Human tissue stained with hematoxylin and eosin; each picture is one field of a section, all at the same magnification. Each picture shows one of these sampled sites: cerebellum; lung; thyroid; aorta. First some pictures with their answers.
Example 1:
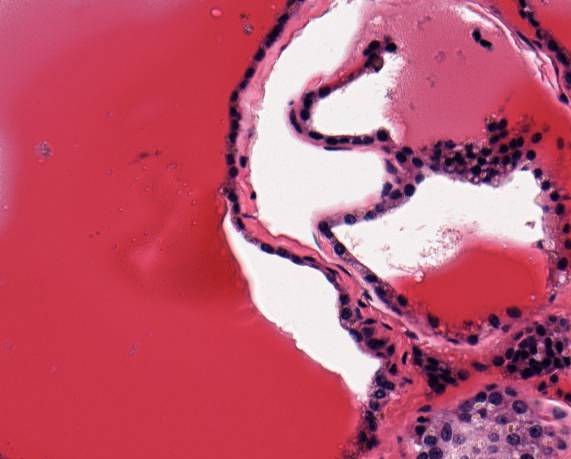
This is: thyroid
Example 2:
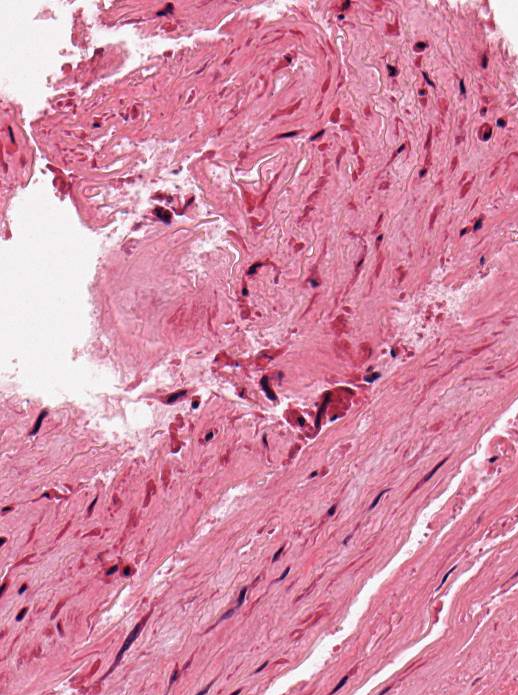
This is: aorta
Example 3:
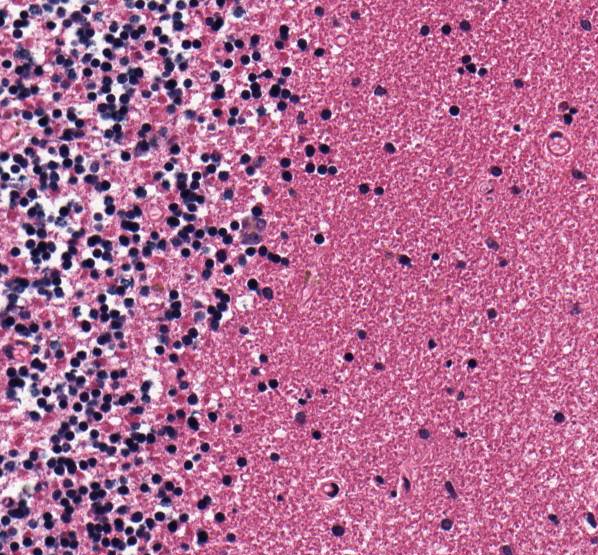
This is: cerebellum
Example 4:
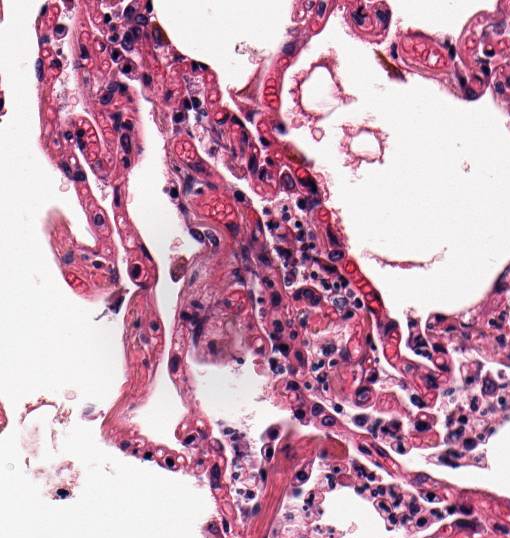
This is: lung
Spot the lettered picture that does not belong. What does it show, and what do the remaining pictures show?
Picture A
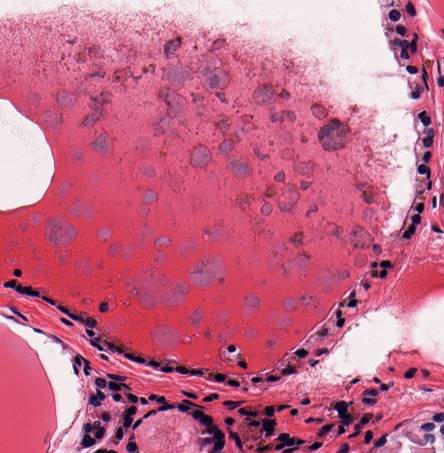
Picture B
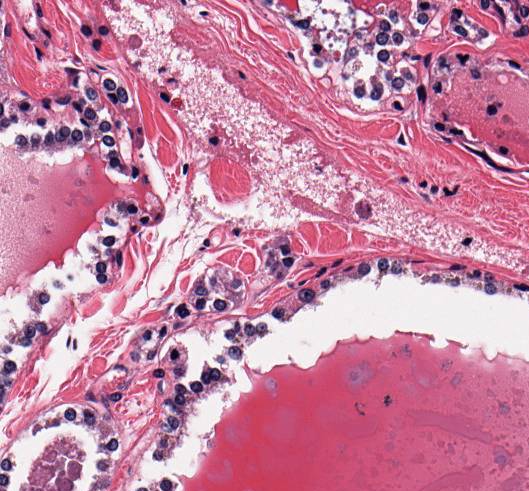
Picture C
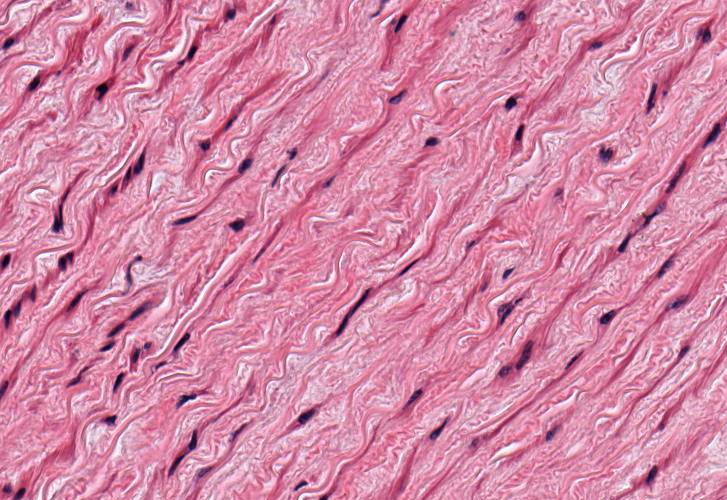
C (aorta) is the exception; every other picture is thyroid.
